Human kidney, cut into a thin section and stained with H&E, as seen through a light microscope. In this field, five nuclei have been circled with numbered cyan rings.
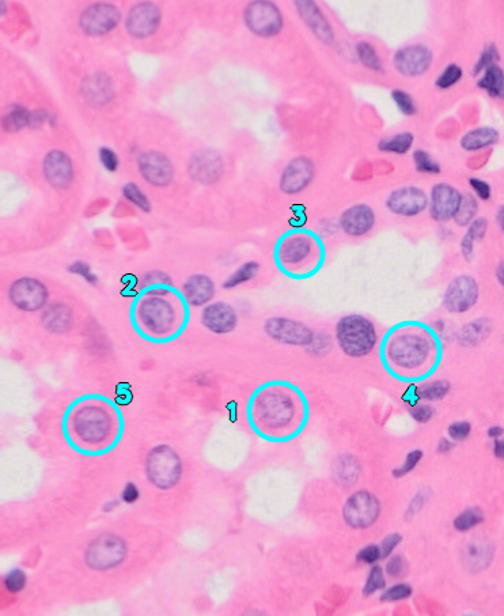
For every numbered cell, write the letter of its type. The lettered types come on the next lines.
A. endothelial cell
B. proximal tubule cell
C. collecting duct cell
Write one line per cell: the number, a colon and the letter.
1: B
2: C
3: C
4: C
5: B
